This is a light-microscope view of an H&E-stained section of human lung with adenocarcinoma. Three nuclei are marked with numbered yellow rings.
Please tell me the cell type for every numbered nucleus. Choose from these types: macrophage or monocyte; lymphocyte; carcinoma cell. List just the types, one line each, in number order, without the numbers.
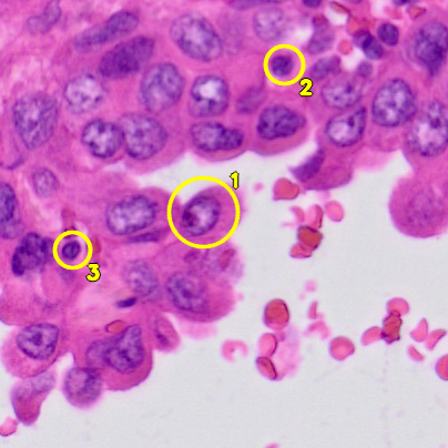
carcinoma cell
lymphocyte
lymphocyte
